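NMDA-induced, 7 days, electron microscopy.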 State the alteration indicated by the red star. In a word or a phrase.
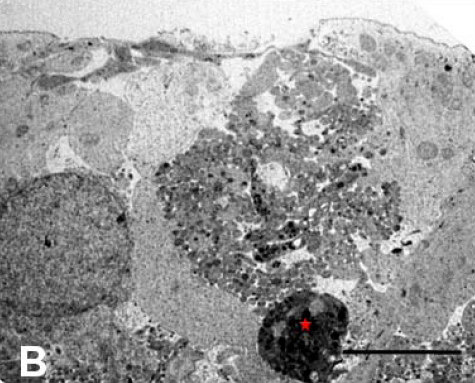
Necrotic cell.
